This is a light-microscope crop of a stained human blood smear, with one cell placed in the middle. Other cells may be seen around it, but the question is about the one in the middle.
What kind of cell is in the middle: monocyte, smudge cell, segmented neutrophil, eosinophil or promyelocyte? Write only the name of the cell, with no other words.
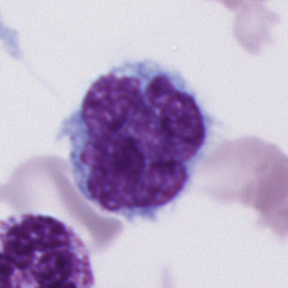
monocyte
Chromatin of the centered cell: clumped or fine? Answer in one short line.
Heads up, the chromatin in this one is coarsely clumped.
